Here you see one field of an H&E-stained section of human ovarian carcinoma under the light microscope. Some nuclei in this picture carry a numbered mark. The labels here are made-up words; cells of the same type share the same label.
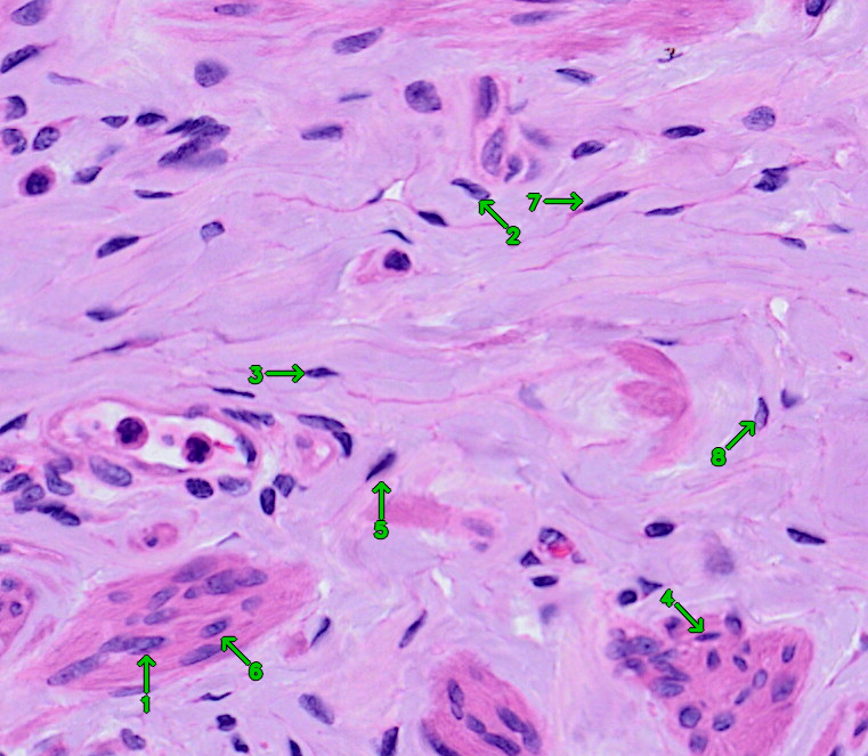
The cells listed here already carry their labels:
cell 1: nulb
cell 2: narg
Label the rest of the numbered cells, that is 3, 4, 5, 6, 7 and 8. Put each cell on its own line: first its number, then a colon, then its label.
3: narg
4: nulb
5: narg
6: nulb
7: narg
8: narg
